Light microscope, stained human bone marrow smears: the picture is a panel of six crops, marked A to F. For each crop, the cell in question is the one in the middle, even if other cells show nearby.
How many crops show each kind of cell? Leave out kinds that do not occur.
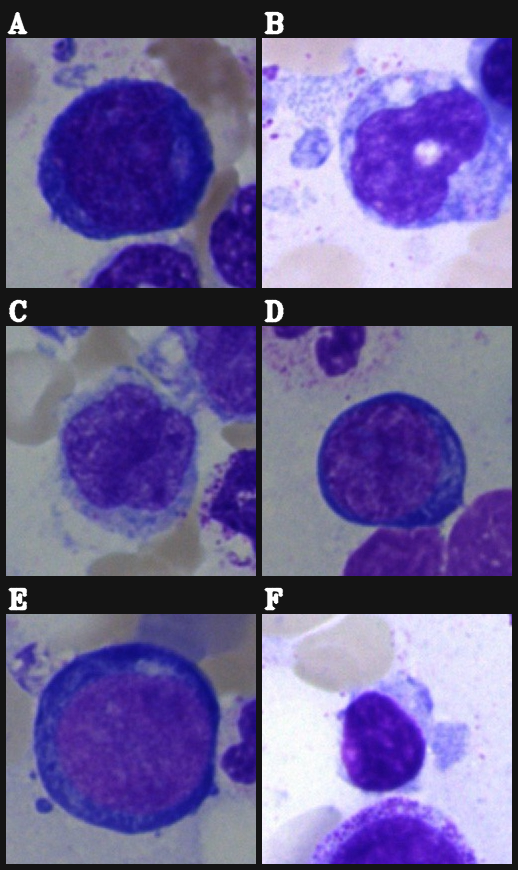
proerythroblast: 3
monocyte: 2
lymphocyte: 1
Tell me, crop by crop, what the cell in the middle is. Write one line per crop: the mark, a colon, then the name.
A: proerythroblast
B: monocyte
C: monocyte
D: proerythroblast
E: proerythroblast
F: lymphocyte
